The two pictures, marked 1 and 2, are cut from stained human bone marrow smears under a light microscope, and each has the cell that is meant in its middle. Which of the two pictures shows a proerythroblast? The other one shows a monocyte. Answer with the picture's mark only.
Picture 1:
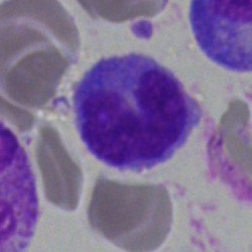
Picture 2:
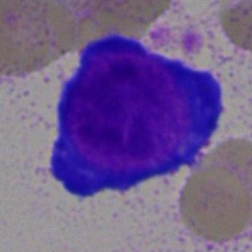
2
